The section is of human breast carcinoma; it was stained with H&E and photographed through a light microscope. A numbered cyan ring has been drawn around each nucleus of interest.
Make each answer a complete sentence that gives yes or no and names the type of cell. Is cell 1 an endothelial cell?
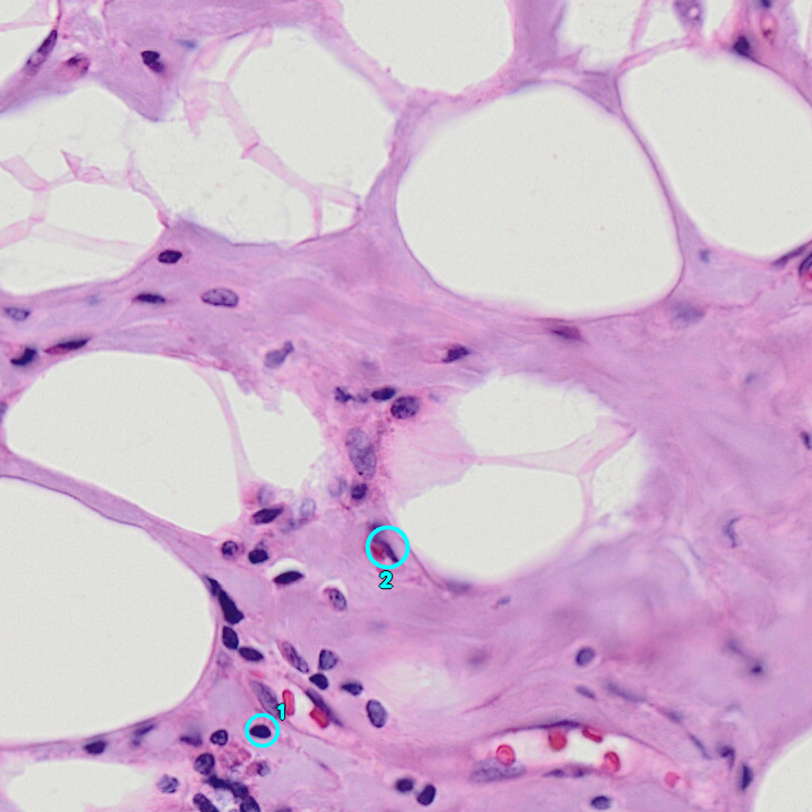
No, cell 1 is not an endothelial cell; a lymphocyte is the correct identification.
